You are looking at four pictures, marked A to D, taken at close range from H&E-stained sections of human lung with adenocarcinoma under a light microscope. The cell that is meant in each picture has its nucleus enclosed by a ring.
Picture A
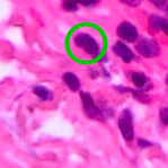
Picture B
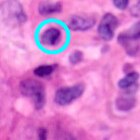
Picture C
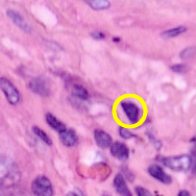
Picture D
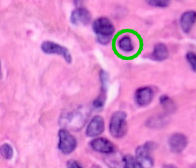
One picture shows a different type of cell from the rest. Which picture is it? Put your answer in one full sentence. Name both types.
The others show lymphocytes, but picture C shows a plasma cell.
